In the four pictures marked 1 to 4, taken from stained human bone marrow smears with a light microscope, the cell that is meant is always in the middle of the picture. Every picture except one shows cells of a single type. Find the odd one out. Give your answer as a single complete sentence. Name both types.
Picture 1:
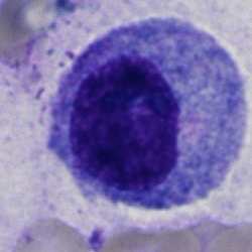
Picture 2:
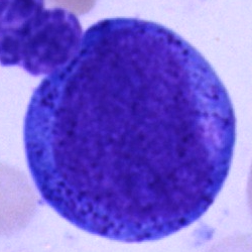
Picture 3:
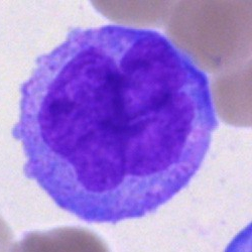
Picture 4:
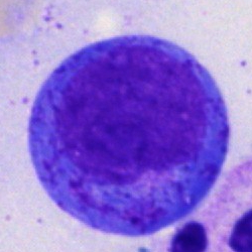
Picture 3 is the odd one out: it shows a monocyte, while the others show promyelocytes.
